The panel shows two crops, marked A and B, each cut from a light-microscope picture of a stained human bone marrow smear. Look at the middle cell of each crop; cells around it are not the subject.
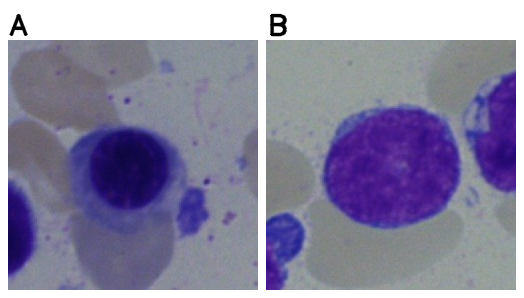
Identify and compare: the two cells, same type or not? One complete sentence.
No, the correct reading is a normoblast in crop A and a blast in crop B.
